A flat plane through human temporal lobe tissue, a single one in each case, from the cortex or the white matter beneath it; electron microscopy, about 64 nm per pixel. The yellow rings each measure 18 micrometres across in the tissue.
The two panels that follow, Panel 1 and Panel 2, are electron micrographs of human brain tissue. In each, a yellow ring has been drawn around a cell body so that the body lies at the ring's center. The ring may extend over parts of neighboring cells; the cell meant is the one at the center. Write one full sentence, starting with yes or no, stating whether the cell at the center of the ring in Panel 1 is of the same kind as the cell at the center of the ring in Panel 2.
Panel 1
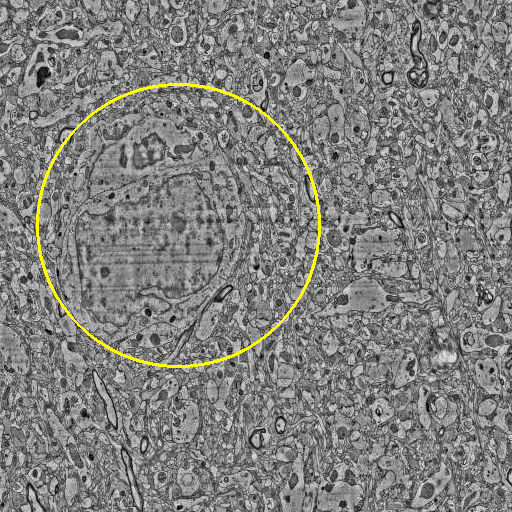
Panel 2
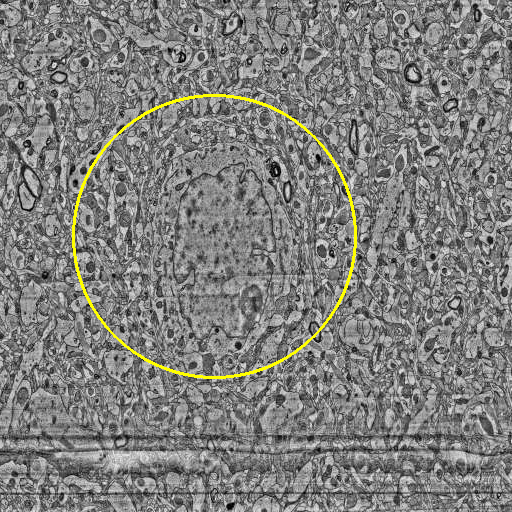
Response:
Yes, the cells in both panels are of the same kind.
